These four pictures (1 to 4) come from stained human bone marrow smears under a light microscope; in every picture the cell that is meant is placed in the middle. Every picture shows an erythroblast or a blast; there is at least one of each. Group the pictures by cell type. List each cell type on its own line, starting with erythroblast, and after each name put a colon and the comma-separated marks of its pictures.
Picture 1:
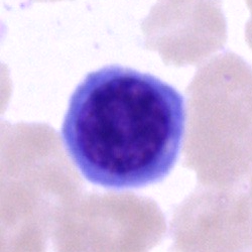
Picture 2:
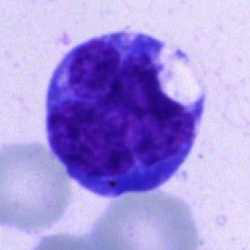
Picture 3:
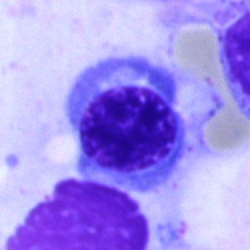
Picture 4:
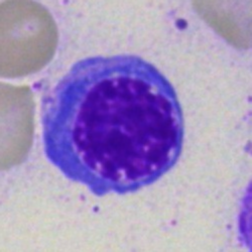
erythroblast: 1, 3, 4
blast: 2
